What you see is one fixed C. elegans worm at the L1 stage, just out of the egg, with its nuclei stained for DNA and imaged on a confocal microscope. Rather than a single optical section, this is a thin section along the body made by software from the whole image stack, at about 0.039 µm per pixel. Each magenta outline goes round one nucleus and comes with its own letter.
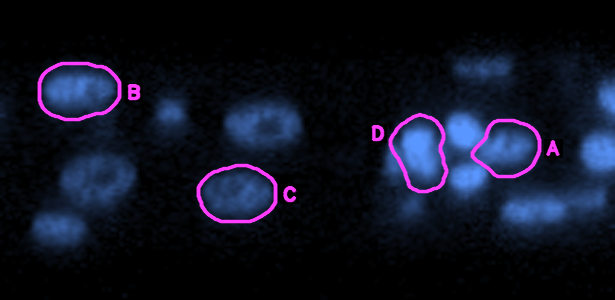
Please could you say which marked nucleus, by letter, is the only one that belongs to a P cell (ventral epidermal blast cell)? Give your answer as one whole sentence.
Nucleus B belongs to a P cell (ventral epidermal blast cell).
